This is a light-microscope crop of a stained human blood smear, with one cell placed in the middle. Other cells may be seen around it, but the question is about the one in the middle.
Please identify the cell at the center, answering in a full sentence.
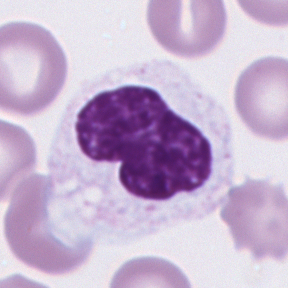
The centrally located cell in the crop is a band neutrophil.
